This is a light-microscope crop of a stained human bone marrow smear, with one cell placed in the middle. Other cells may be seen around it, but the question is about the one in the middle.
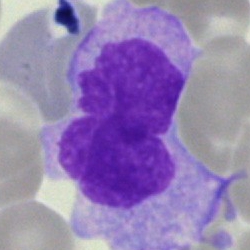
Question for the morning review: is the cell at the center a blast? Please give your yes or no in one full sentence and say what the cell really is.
No, the cell located centrally is a monocyte rather than a blast.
